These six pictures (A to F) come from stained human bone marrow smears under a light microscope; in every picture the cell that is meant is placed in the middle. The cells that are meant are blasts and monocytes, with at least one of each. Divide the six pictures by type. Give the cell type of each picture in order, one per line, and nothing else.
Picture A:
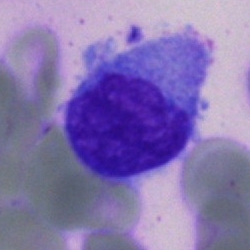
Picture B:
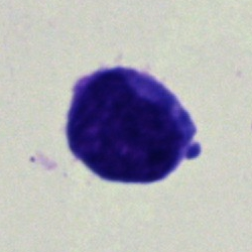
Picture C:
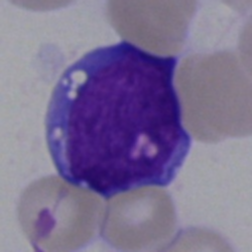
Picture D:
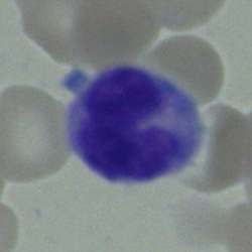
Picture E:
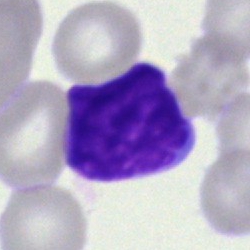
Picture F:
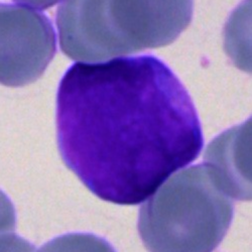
monocyte
blast
blast
monocyte
blast
blast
